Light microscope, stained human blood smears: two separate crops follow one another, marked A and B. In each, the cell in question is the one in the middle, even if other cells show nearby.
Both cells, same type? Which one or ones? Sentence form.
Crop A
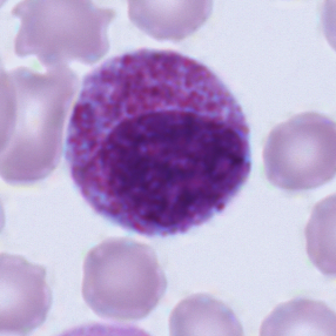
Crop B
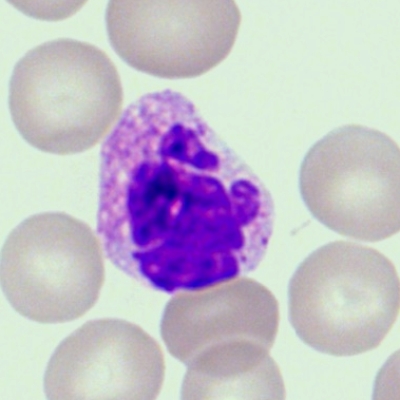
No, within crop A lies an eosinophil, and within crop B lies a basophil.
